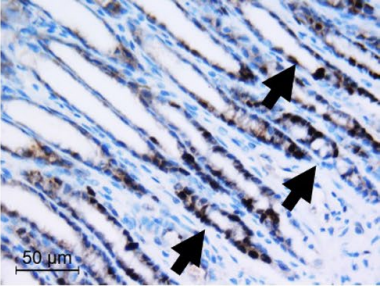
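Mucosal crypts cut lengthwise run as long parallel tubes with pale lumens, separated by narrow strips of stroma with blue-stained nuclei. Numerous nuclei in the epithelial cells lining the crypts are stained dark brown, forming dense rows along the glands.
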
